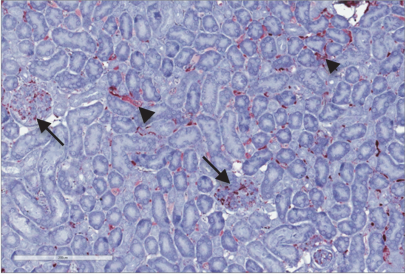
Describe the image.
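This is kidney cortex with densely packed tubule profiles, their epithelial nuclei stained blue, and scattered rounded glomeruli. Purple-red deposits appear as speckles inside the glomerular tufts and as streaks and clumps lying among the tubules.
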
